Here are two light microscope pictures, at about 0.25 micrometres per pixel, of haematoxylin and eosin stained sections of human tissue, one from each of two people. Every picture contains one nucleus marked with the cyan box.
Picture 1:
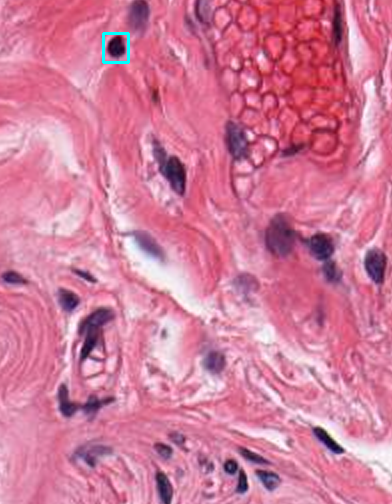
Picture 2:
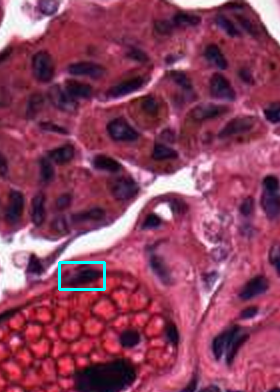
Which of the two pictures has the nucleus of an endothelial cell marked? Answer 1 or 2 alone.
2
